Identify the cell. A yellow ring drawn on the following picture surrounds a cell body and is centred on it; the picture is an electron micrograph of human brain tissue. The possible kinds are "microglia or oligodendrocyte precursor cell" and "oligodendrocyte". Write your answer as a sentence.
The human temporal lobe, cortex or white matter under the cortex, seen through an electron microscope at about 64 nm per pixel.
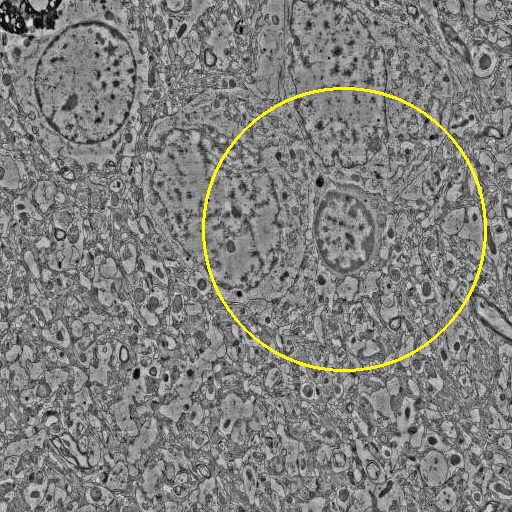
The cell identified by the ring is an oligodendrocyte.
